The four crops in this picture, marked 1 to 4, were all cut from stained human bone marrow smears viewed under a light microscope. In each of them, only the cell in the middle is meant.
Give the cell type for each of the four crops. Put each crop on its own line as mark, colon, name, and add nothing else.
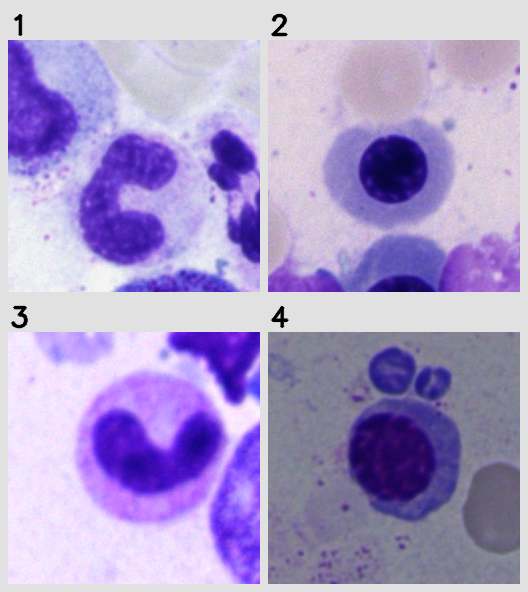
1: band neutrophil
2: erythroblast
3: band neutrophil
4: erythroblast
